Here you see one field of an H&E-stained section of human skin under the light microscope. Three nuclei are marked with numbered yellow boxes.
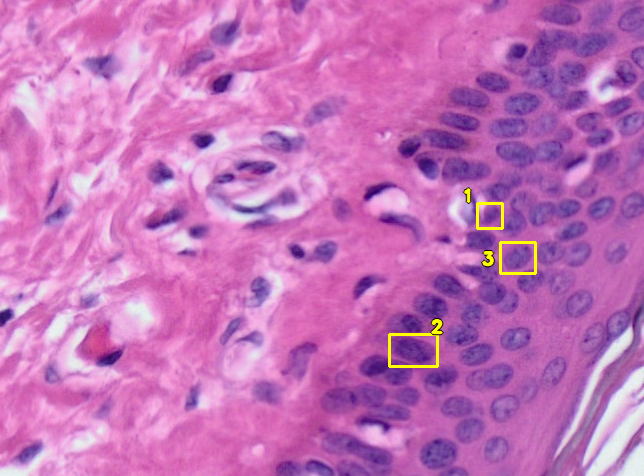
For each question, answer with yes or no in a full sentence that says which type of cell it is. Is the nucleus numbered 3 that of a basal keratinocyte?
No, it is a suprabasal keratinocyte, not a basal keratinocyte, that number 3 marks.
